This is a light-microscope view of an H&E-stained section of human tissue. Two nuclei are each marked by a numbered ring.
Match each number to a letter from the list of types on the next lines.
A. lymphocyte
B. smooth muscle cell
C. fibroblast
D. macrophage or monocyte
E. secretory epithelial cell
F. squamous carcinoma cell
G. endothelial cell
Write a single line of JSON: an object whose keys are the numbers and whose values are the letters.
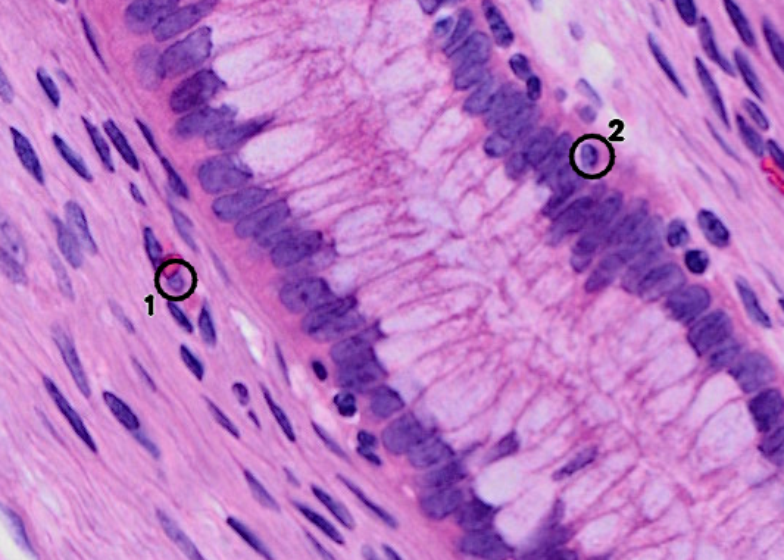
{"1": "G", "2": "E"}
